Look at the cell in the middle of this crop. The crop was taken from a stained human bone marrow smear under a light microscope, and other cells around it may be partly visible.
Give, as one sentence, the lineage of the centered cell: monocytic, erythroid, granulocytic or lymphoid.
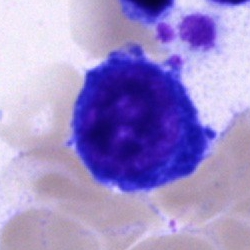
The correct lineage for the cell at the center is the erythroid one.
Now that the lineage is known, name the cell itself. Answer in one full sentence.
Regarding the central cell, it is a proerythroblast.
